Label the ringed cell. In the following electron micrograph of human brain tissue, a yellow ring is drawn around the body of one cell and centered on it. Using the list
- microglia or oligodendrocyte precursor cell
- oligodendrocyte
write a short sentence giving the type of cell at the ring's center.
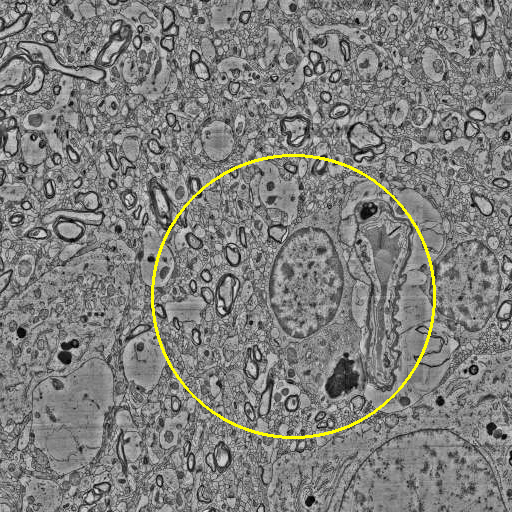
The cell body at the ring's center is that of an oligodendrocyte.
